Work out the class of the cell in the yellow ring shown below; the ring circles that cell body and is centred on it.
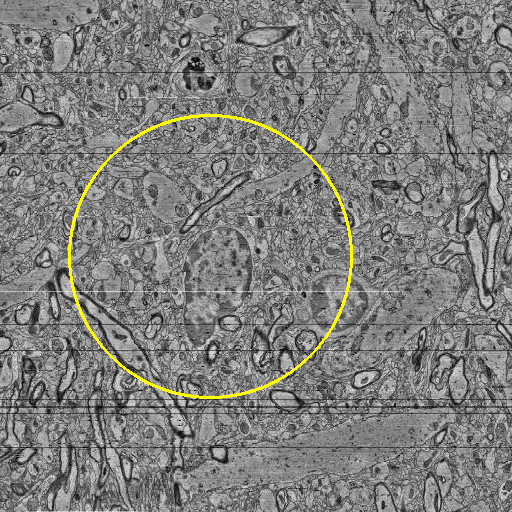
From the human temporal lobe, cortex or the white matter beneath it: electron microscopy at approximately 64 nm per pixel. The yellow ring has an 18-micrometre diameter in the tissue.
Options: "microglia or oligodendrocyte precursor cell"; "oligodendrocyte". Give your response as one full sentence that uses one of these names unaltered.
The body ringed in yellow, right at the ring's centre, is that of a microglial cell or oligodendrocyte precursor cell.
